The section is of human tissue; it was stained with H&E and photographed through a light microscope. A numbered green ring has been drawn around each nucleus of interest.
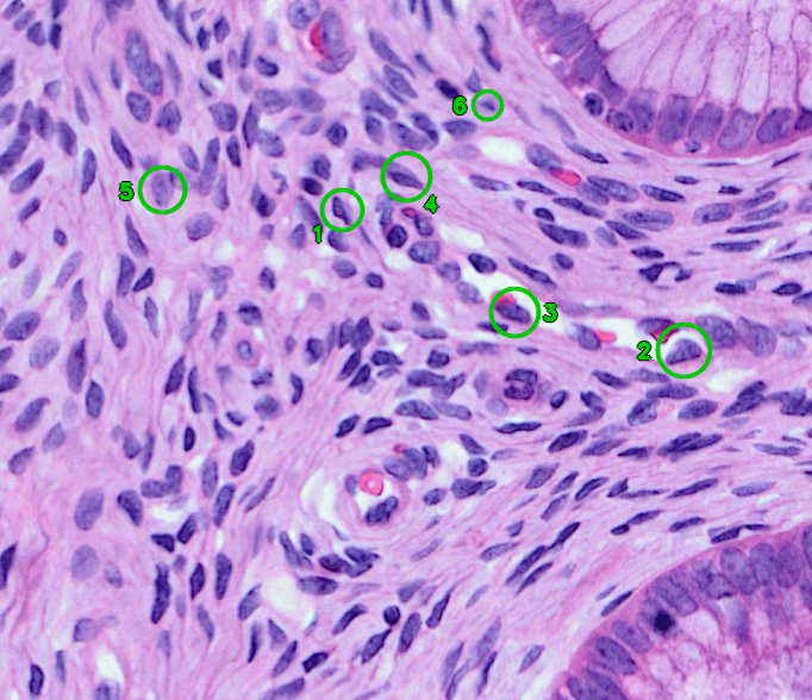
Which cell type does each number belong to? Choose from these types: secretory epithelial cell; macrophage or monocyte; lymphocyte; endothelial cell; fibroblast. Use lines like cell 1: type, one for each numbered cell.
cell 1: fibroblast
cell 2: endothelial cell
cell 3: endothelial cell
cell 4: fibroblast
cell 5: fibroblast
cell 6: fibroblast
